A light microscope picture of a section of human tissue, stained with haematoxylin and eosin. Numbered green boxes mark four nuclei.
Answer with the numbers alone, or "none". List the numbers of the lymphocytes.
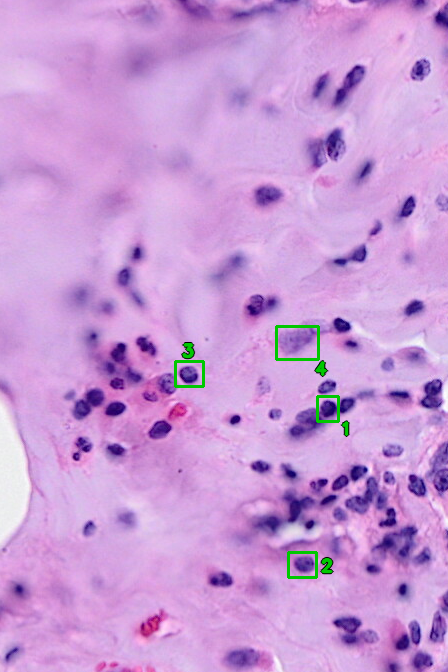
1, 2, 3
